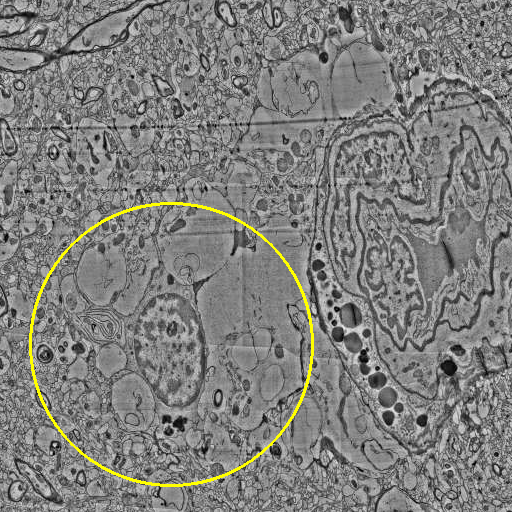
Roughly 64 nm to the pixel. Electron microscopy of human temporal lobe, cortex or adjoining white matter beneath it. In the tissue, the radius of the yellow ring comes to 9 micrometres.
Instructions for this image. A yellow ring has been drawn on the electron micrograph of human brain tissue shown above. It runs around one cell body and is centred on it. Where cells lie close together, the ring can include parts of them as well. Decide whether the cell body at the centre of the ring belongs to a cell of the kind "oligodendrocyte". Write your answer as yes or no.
yes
